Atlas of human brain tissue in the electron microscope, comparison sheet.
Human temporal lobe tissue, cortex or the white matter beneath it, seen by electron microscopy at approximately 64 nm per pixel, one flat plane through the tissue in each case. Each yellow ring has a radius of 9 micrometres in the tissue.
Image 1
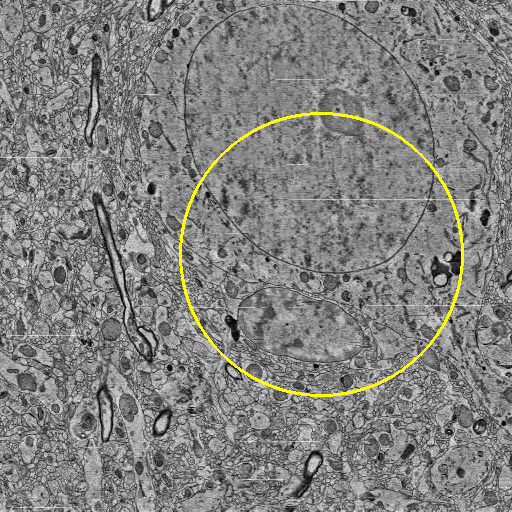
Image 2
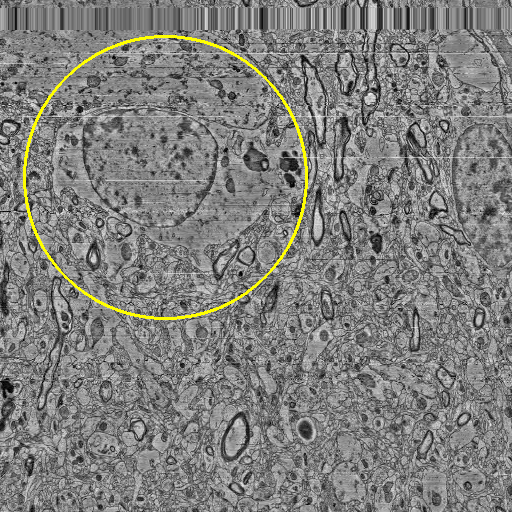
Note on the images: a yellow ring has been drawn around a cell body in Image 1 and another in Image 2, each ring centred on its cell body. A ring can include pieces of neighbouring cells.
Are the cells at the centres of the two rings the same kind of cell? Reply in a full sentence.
No, the two cells are of two kinds.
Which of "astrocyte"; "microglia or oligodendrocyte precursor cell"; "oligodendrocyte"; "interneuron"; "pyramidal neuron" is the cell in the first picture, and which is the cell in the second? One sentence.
The two differ: the first cell is a pyramidal neuron and the second is an astrocyte.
